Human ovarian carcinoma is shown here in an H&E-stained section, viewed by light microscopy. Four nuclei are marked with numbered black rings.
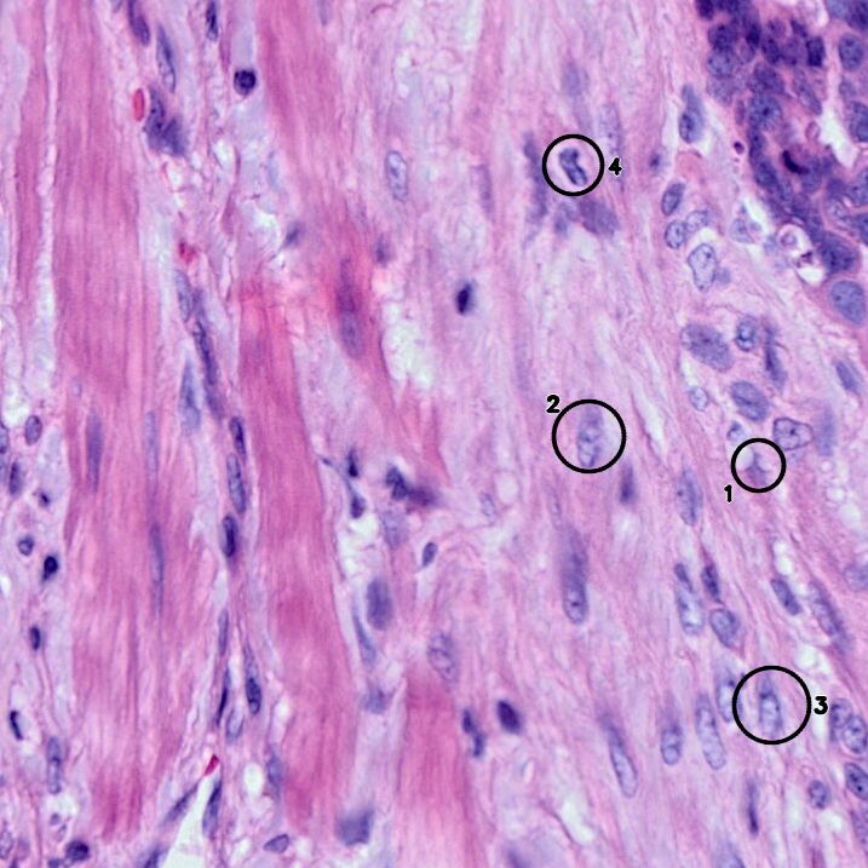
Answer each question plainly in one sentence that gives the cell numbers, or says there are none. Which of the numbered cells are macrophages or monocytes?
The numbered cells, every one of them, are not macrophages or monocytes.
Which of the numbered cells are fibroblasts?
To be specific, the cells numbered 1, 2 and 3 are fibroblasts.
